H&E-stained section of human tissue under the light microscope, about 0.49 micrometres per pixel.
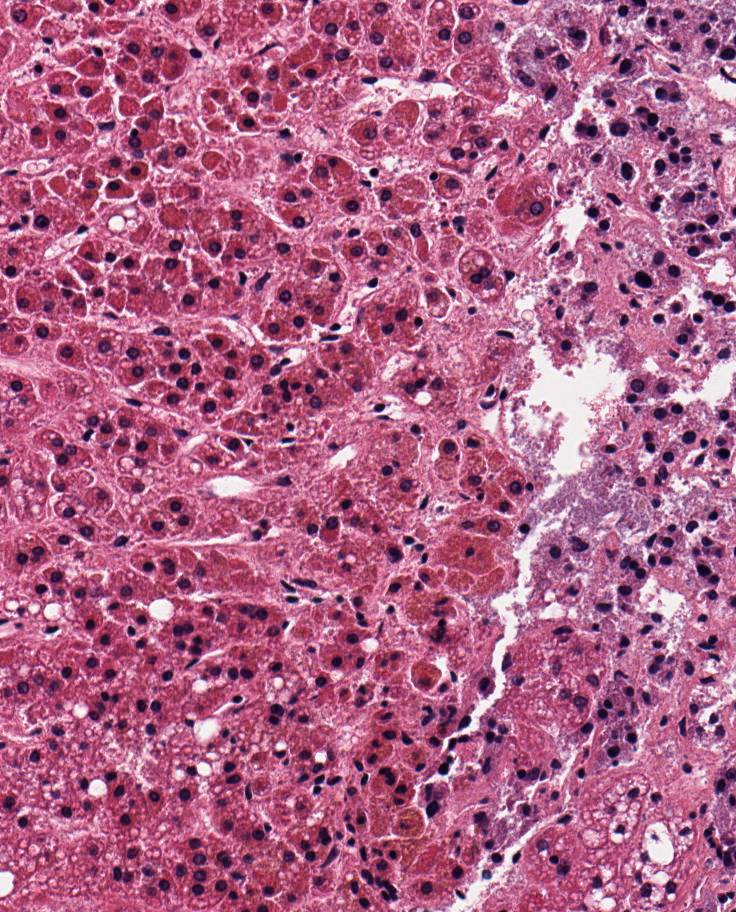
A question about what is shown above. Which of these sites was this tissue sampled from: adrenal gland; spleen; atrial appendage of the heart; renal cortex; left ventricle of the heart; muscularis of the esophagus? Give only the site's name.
adrenal gland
